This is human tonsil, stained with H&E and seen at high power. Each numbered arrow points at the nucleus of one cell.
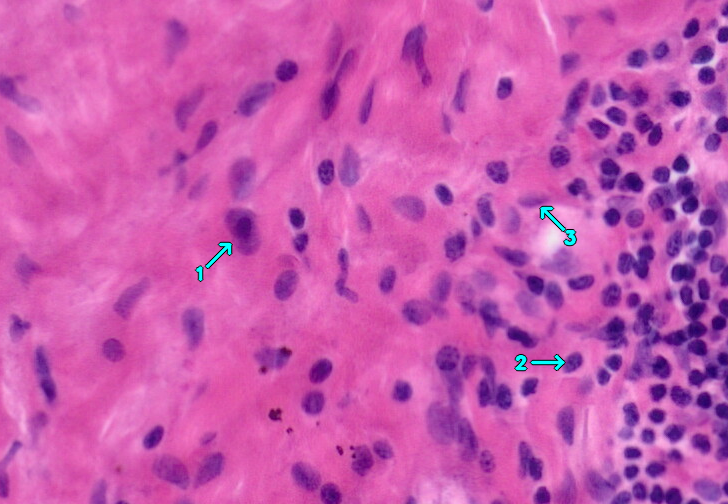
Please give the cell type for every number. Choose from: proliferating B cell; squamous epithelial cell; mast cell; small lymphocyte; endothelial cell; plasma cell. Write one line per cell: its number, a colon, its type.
1: endothelial cell
2: mast cell
3: endothelial cell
